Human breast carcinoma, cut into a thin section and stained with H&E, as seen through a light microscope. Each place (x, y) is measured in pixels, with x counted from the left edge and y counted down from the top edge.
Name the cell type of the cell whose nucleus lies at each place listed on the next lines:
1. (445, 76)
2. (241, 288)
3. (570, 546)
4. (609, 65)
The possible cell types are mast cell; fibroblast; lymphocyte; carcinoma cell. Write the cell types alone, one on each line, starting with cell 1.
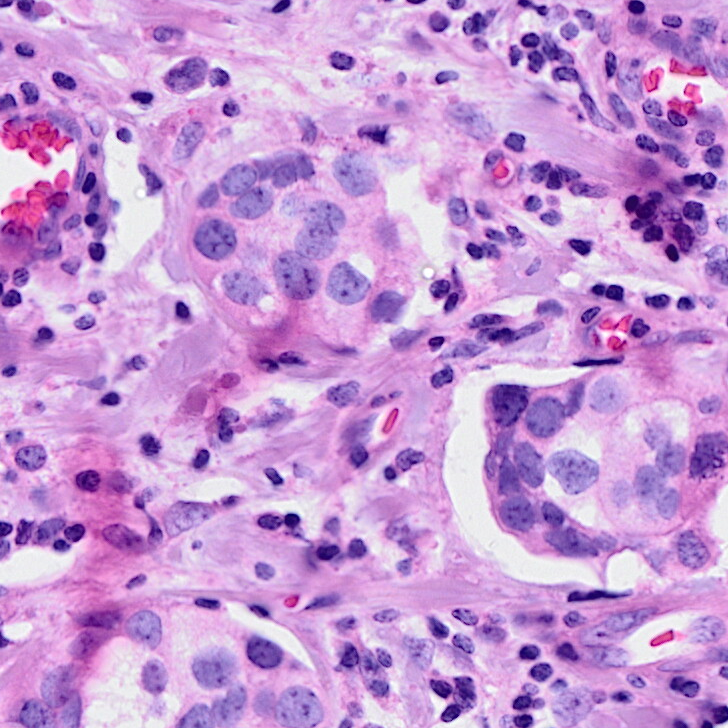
lymphocyte
carcinoma cell
carcinoma cell
lymphocyte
